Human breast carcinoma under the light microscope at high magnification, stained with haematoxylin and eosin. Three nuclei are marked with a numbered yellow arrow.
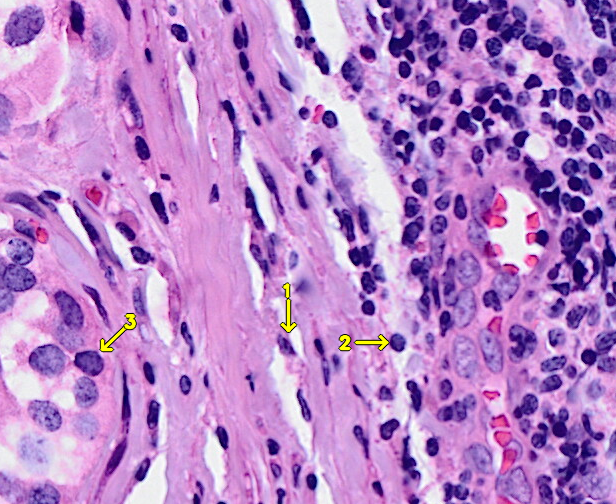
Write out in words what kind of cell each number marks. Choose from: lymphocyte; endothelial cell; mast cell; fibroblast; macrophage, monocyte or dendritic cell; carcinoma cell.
Cell 1 is a fibroblast. Cell 2 is a lymphocyte. Cell 3 is a carcinoma cell.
